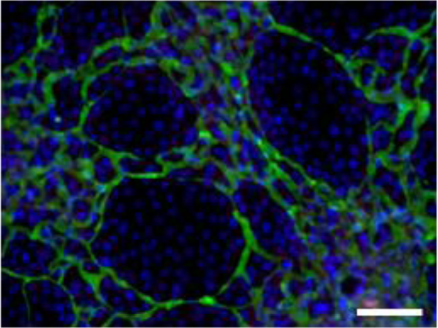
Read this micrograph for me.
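This is a cultured cell layer in which a dense carpet of small blue nuclei is crossed by a bright green fibrous network. The green strands branch and join into a coarse meshwork that encloses several large, roughly round fields. Inside these fields the nuclei are small, evenly spaced and tightly packed, with no green strands among them. Red is hardly visible against the green.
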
